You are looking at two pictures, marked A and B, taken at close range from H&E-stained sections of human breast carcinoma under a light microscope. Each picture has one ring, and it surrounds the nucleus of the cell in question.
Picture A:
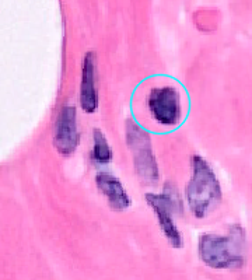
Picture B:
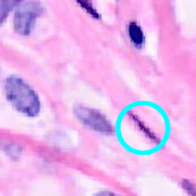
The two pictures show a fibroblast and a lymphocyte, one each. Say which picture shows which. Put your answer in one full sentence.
Picture B shows a fibroblast, while picture A shows a lymphocyte.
